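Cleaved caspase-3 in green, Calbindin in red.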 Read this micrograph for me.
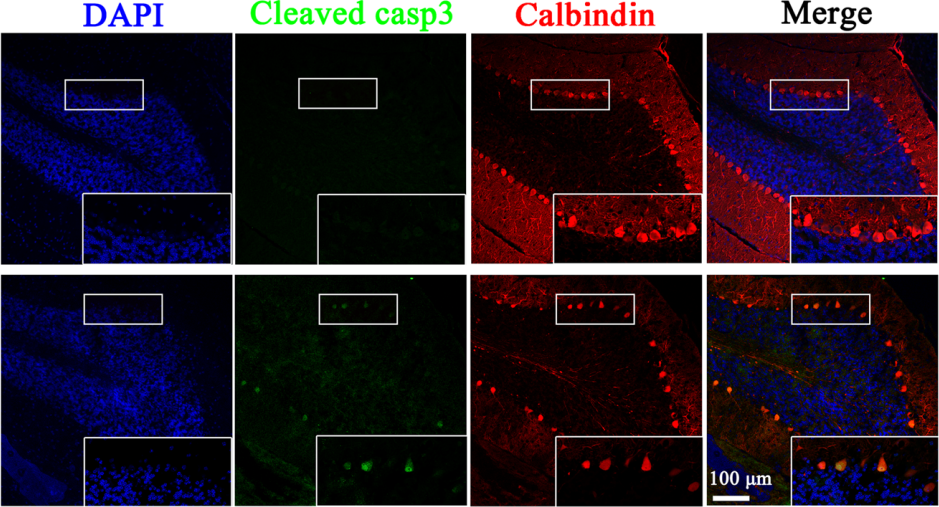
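These are sections of cerebellar cortex showing a dense blue layer of small packed nuclei, the granular layer, bordered by a single row of large red cell bodies, the Purkinje cells, with red dendrites spreading into the outer molecular layer. In the upper row the Purkinje cells form a continuous, closely spaced row and there is almost no green signal. In the lower row the Purkinje cell row looks sparser and more gapped. Several of the remaining large cell bodies in the lower row are green, and in the merged image they appear yellow-orange where green and red overlap.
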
